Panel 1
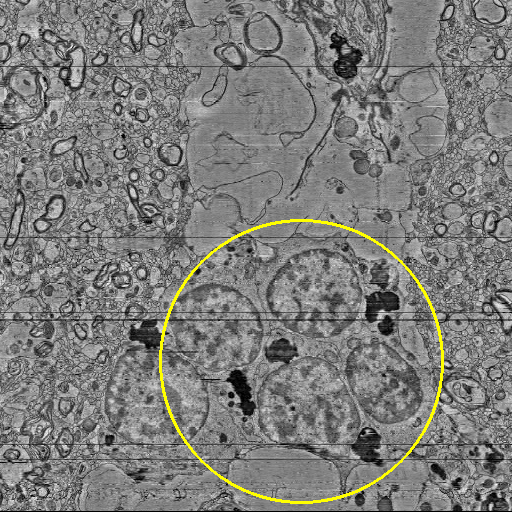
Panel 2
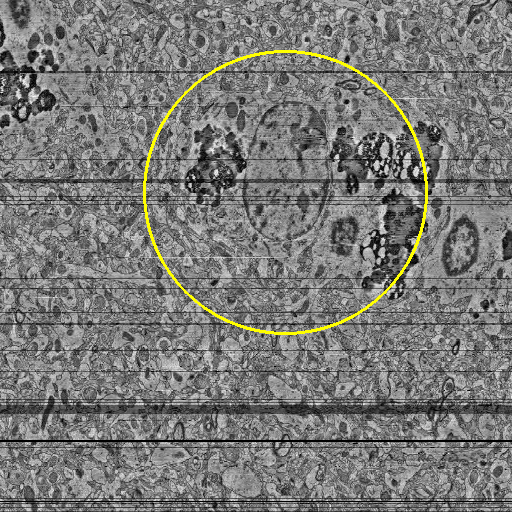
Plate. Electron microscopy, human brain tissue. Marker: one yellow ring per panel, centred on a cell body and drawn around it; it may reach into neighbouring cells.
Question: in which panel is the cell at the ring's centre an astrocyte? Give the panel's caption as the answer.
Panel 2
